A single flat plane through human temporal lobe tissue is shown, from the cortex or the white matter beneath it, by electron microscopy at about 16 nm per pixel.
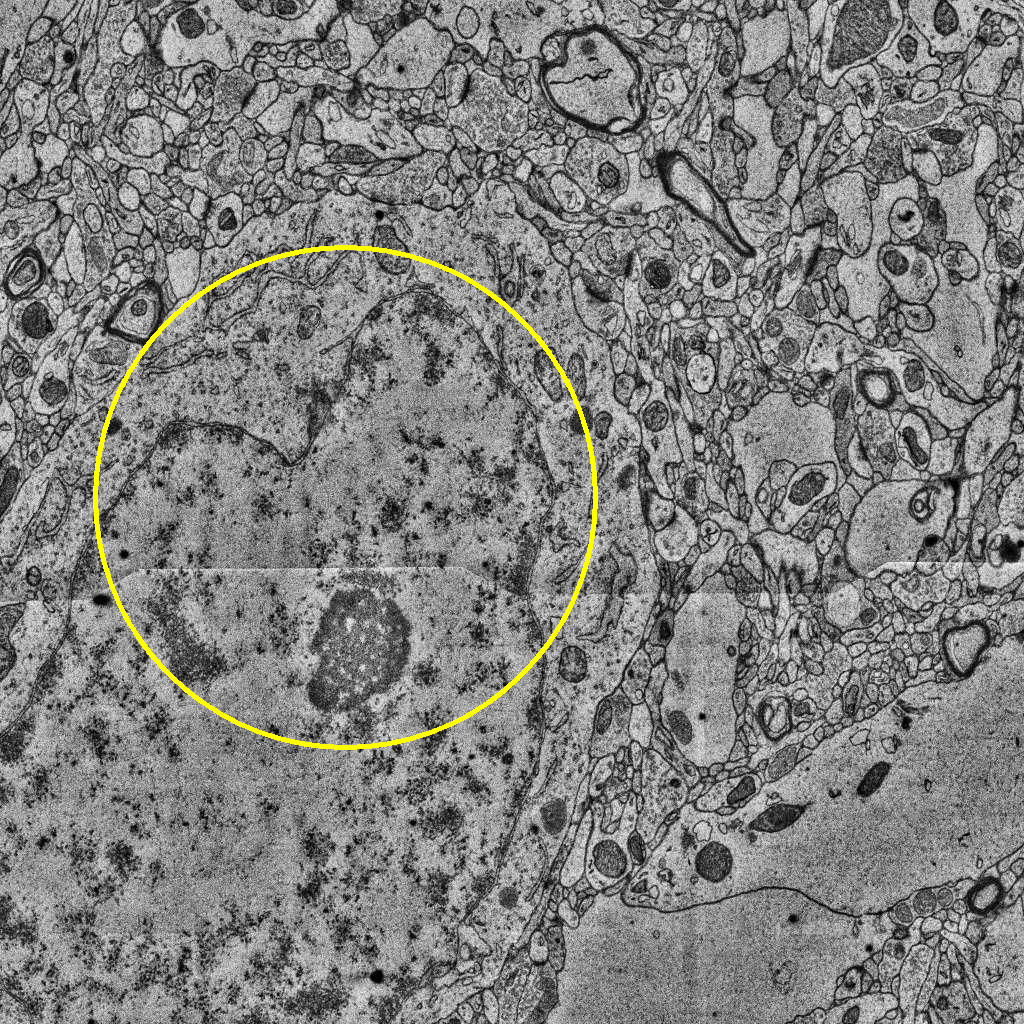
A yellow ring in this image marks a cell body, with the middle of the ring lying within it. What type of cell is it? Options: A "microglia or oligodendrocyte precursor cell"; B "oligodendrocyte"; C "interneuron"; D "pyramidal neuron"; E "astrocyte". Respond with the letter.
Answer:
C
